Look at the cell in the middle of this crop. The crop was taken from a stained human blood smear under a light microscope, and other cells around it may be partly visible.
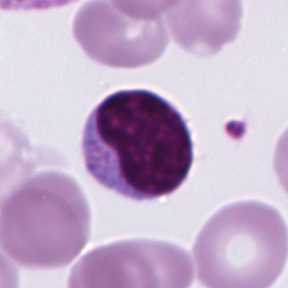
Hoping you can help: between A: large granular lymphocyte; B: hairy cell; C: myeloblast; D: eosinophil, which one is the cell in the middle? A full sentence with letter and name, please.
In this crop the central cell is a large granular lymphocyte, which option A correctly states.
